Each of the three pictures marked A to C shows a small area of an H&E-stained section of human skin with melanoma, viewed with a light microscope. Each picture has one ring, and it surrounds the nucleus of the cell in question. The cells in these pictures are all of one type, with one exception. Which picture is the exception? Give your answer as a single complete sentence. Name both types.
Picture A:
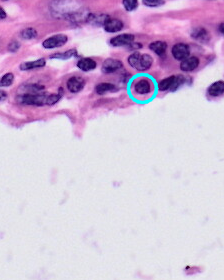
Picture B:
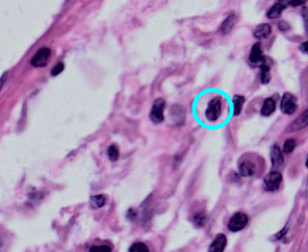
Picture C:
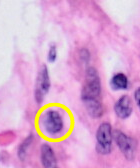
Picture A differs, because its cell is a plasma cell and the rest are lymphocytes.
